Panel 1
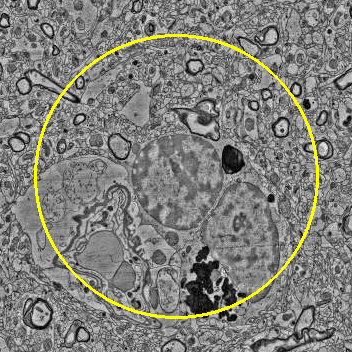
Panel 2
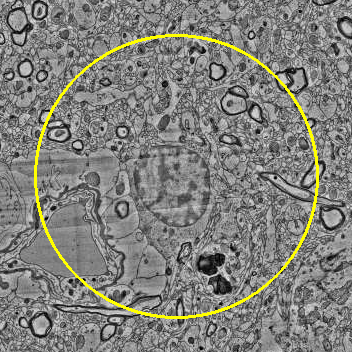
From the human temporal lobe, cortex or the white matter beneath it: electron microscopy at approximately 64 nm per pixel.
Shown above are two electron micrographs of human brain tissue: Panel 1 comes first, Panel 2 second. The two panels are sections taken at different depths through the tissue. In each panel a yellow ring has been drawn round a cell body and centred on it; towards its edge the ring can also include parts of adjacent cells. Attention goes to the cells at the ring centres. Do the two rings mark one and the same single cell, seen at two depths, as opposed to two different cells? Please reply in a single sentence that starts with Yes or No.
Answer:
Yes, the cell marked in each ring is one and the same.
